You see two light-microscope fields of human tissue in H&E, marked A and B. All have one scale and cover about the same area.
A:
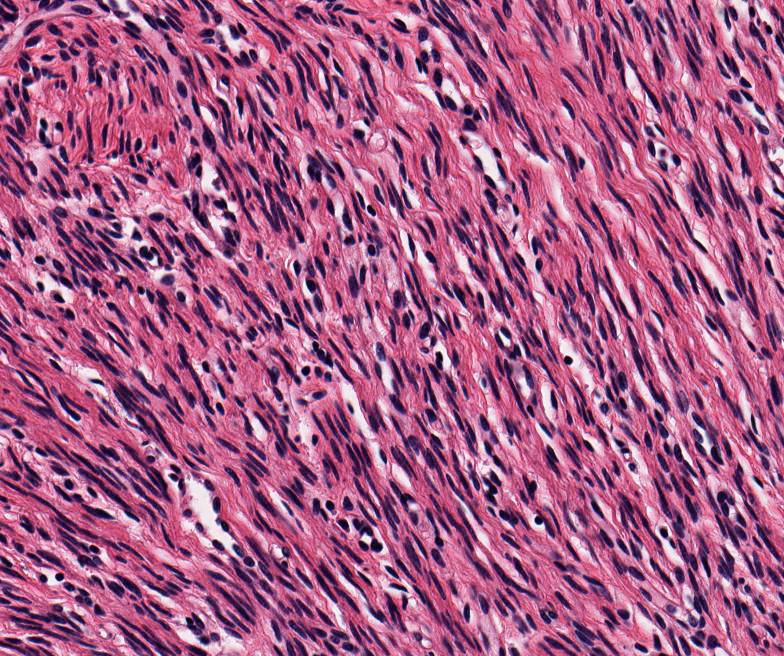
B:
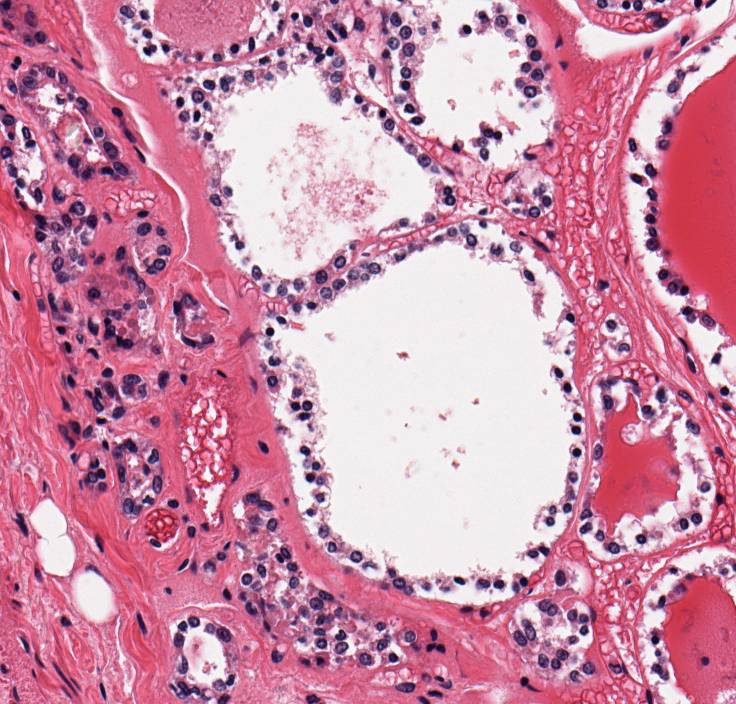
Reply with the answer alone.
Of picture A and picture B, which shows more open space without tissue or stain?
B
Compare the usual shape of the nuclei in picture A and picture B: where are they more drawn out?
A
